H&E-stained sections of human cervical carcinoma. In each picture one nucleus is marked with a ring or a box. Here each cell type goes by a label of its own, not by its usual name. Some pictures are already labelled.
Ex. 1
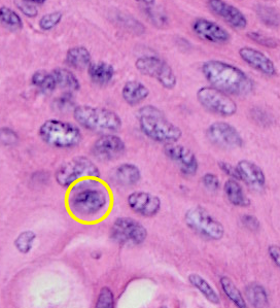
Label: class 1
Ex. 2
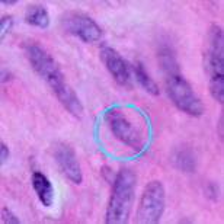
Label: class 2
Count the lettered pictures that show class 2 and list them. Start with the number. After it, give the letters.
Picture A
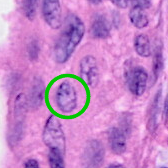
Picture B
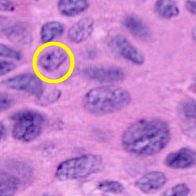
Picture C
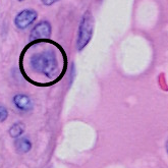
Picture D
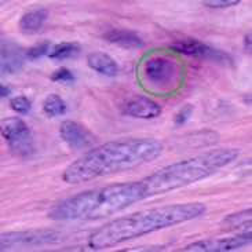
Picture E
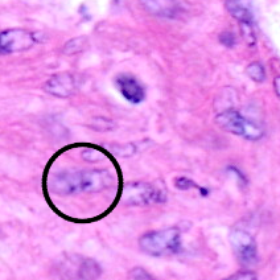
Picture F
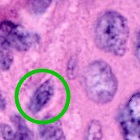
Count: 3 (C, D, E)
